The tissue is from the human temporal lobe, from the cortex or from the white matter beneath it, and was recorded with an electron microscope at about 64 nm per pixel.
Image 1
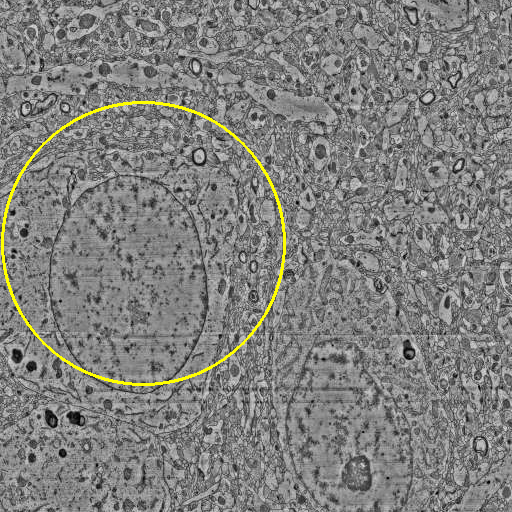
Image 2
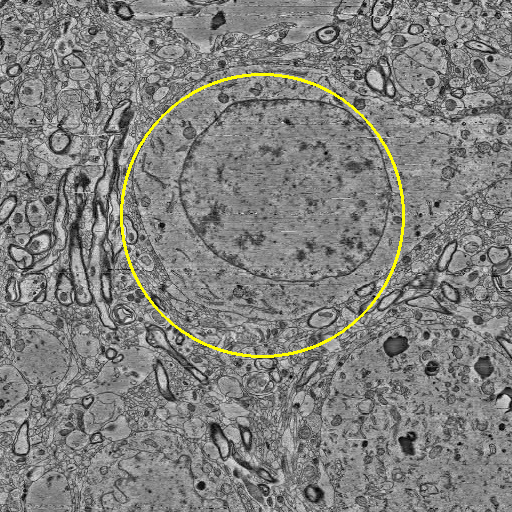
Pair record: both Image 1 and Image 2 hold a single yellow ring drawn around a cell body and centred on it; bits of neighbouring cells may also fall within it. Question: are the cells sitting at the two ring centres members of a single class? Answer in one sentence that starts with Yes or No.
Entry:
Yes, both ring-centre cells in Image 1 and Image 2 are members of one class.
